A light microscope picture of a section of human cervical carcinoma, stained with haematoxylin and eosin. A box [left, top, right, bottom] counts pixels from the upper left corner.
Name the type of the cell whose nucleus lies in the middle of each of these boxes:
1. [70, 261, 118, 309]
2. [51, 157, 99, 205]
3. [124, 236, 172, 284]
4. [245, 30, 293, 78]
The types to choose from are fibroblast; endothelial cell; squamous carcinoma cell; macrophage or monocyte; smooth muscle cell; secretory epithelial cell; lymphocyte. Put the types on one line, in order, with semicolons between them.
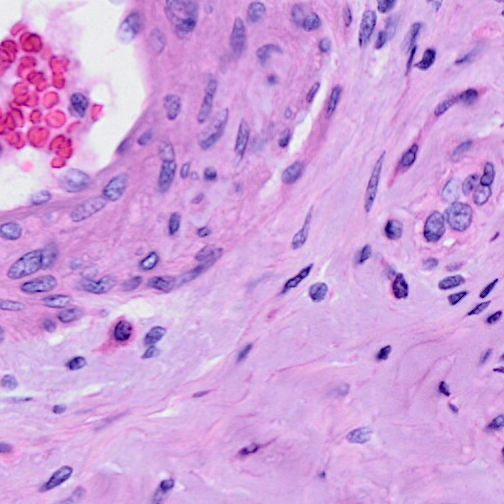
smooth muscle cell; endothelial cell; smooth muscle cell; smooth muscle cell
